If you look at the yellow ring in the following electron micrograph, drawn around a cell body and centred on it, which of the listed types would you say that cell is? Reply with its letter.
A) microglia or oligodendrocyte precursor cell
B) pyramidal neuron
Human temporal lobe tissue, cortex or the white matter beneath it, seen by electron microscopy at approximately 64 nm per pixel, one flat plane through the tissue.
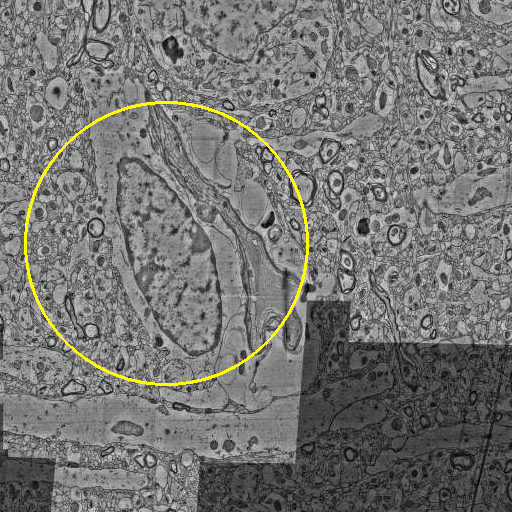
A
